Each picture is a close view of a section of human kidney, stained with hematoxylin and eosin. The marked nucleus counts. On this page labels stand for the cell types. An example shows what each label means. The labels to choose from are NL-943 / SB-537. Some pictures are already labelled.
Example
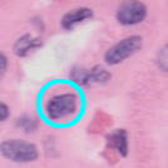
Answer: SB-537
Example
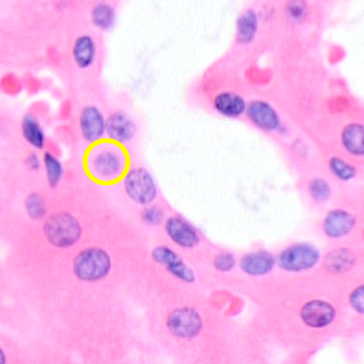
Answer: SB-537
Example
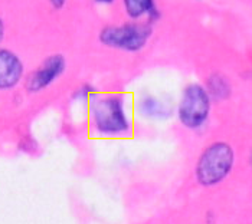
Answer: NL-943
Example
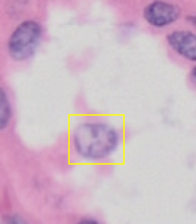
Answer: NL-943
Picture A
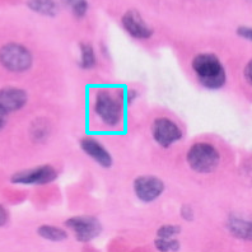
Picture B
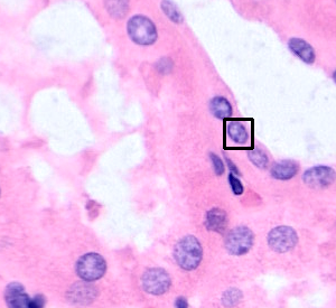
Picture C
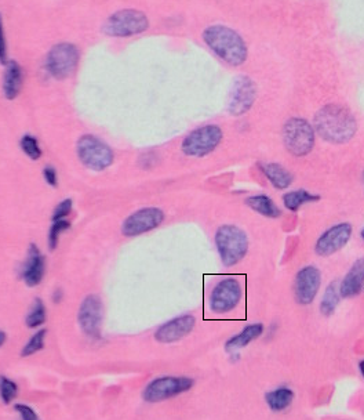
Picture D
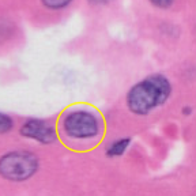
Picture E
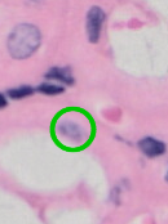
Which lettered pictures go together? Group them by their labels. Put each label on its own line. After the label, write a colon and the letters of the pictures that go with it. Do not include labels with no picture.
NL-943: A, C, D, E
SB-537: B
